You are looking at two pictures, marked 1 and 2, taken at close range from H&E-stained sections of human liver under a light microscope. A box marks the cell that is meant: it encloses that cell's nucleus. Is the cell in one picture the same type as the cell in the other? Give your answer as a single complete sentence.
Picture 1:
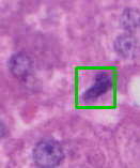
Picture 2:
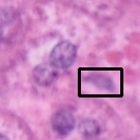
Yes, they are the same type: both are Kupffer cells.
